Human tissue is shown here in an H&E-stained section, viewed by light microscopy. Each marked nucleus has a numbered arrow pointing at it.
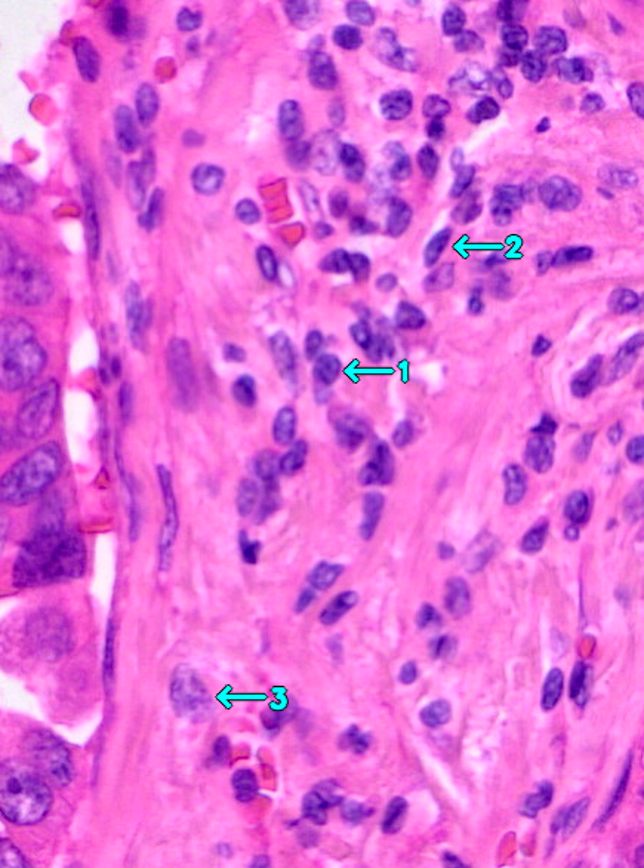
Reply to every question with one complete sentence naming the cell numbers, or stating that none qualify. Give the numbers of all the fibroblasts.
Among the marked cells, a fibroblast is found only at number 3.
